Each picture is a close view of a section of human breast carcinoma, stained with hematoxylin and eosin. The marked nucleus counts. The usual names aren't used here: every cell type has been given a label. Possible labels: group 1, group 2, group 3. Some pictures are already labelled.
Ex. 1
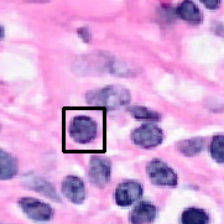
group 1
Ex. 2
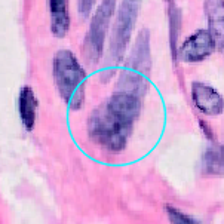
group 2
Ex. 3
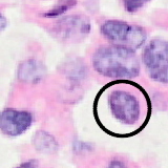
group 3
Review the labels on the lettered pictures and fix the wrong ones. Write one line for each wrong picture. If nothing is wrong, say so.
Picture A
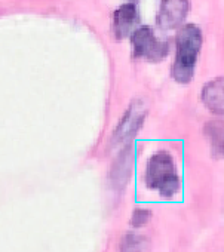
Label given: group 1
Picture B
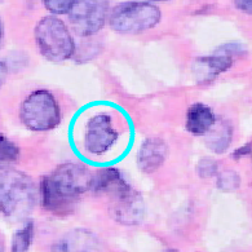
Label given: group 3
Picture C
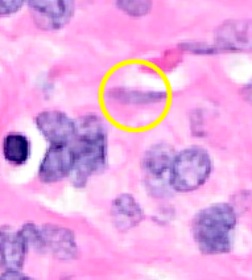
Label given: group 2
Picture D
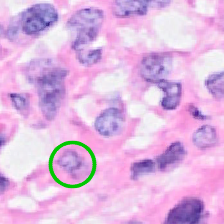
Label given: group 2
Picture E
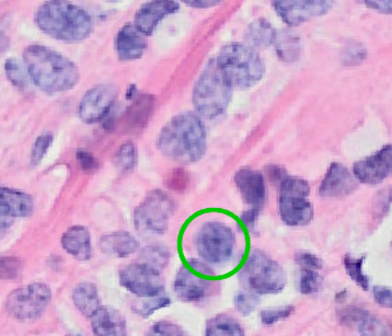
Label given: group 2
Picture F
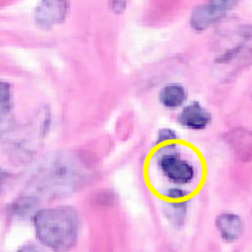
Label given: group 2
E: not group 2 but group 3
F: not group 2 but group 1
